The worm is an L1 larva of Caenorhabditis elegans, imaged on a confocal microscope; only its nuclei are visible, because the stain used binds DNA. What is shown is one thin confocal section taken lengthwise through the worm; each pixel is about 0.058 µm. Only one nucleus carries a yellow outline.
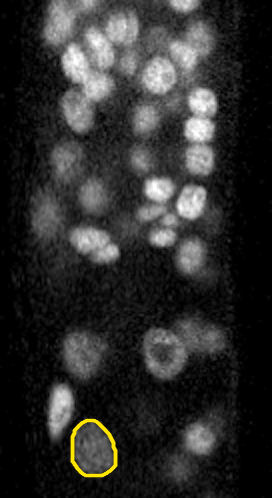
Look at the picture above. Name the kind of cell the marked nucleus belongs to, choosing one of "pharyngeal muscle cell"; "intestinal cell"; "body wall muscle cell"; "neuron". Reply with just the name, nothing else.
intestinal cell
